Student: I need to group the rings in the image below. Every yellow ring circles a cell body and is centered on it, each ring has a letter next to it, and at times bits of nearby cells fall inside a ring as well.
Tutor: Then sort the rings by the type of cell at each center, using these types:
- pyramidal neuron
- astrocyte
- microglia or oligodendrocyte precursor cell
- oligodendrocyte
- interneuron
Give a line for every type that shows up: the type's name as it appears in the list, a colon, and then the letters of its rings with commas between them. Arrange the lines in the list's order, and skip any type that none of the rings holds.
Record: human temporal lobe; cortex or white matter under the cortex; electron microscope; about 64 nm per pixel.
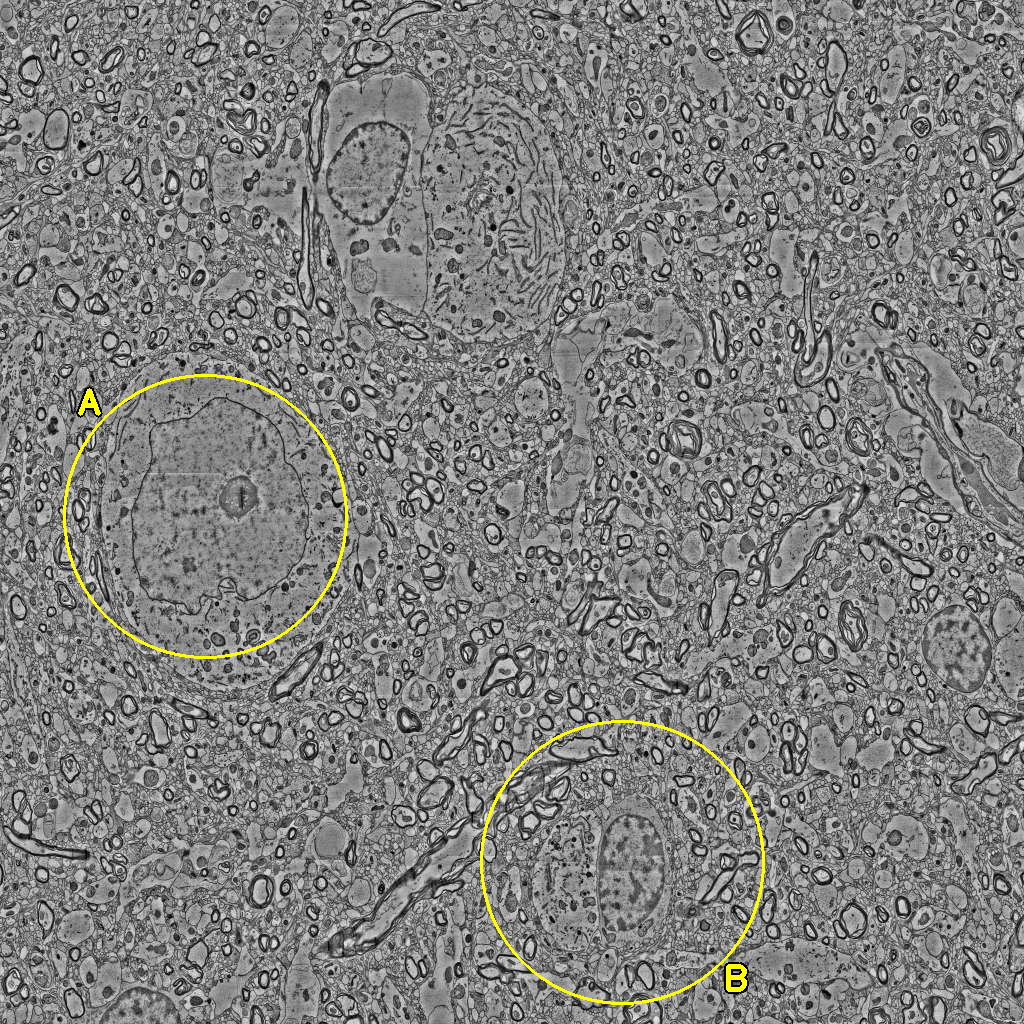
pyramidal neuron: A
oligodendrocyte: B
